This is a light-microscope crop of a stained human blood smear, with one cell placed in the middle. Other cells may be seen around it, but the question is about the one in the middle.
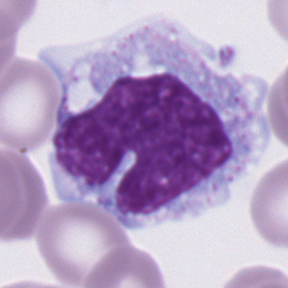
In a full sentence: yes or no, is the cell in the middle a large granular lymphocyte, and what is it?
No, the cell located centrally is a monocyte rather than a large granular lymphocyte.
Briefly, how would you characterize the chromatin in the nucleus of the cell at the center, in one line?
Its chromatin is finely dispersed rather than coarsely clumped.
